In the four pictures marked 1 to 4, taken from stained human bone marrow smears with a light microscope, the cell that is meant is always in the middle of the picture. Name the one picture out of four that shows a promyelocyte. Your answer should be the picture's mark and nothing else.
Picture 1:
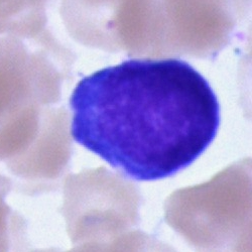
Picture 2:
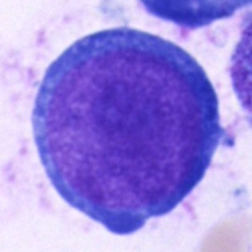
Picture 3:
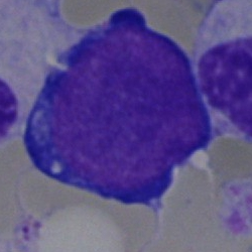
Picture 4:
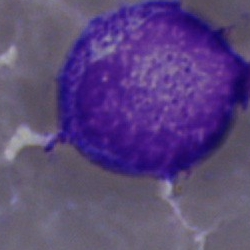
4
